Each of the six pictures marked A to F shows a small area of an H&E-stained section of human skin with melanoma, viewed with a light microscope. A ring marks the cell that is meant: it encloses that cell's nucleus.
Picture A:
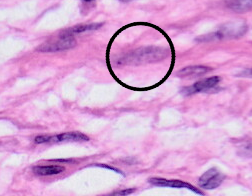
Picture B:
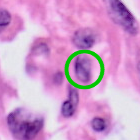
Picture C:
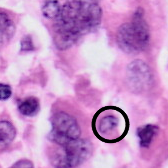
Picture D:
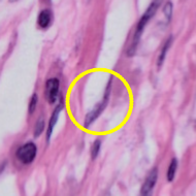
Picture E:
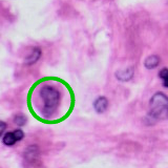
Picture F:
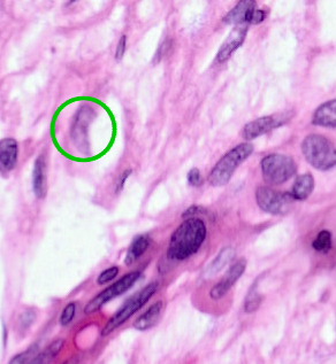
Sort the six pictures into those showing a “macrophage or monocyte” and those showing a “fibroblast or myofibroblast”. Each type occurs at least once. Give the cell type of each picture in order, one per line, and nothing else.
fibroblast or myofibroblast
macrophage or monocyte
macrophage or monocyte
fibroblast or myofibroblast
macrophage or monocyte
fibroblast or myofibroblast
